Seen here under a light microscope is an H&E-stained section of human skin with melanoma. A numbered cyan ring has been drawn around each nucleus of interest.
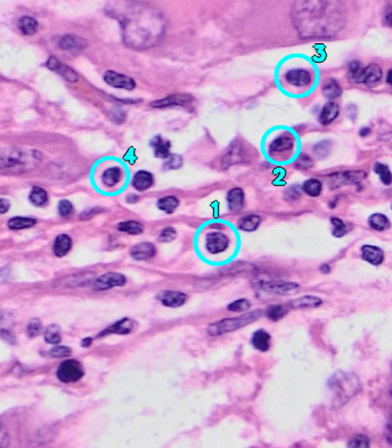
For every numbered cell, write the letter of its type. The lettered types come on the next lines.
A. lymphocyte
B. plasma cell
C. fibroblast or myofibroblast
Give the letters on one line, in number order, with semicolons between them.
A; B; A; A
